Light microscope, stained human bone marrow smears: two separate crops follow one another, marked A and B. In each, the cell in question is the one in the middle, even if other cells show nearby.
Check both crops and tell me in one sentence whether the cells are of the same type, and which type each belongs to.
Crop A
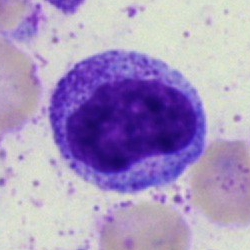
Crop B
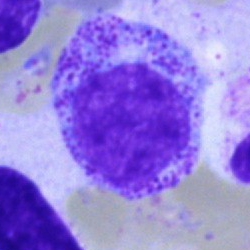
Yes, both of the crops show myelocytes.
